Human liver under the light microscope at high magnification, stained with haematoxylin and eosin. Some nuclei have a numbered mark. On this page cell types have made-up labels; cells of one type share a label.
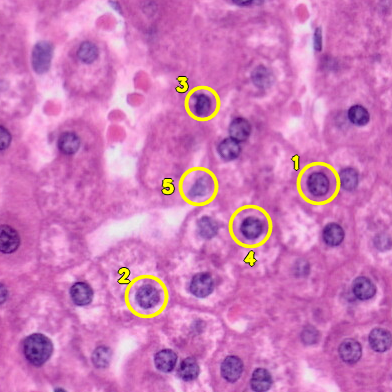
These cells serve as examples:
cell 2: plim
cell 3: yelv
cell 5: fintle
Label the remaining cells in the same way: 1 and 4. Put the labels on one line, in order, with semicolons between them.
plim; plim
